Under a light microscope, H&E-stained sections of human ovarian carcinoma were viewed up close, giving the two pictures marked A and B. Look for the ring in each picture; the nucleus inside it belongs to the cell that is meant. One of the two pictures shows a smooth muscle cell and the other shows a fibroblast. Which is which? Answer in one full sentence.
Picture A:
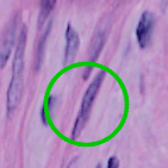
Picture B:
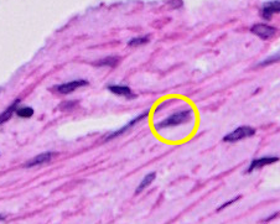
In picture A the cell is a smooth muscle cell; in picture B, a fibroblast.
